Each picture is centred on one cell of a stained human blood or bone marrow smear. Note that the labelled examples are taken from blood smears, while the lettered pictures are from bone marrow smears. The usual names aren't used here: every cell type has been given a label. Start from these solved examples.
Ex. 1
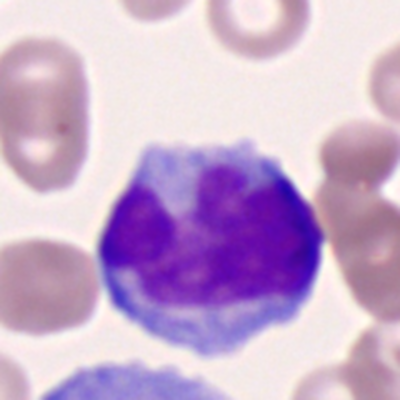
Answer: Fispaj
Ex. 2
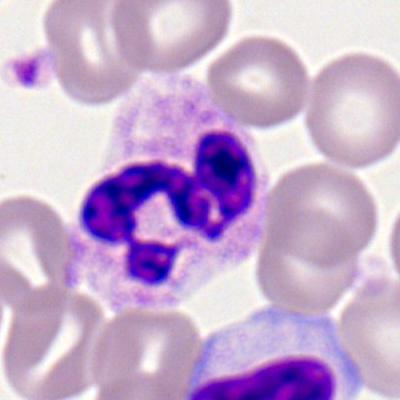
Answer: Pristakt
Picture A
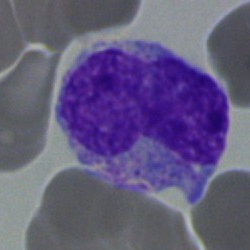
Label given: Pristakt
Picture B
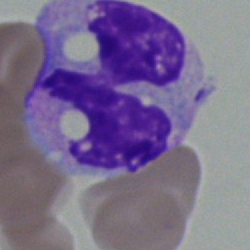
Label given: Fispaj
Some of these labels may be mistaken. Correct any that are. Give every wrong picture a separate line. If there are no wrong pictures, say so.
A is labelled Pristakt; correct label: Fispaj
